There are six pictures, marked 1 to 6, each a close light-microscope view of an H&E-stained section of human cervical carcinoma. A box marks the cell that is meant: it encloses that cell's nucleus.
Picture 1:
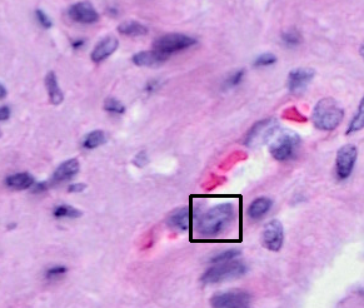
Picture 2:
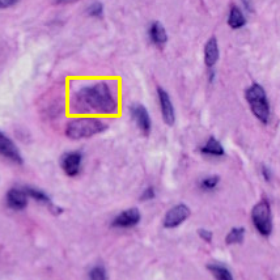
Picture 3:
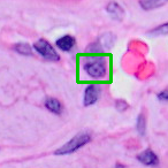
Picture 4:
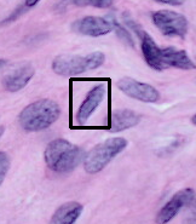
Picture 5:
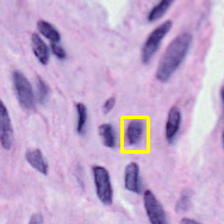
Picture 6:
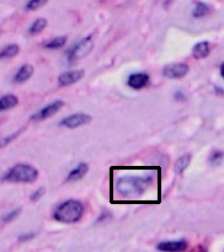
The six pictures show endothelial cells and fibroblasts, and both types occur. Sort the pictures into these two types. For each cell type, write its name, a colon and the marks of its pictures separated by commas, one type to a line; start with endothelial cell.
endothelial cell: 1, 2, 3, 6
fibroblast: 4, 5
